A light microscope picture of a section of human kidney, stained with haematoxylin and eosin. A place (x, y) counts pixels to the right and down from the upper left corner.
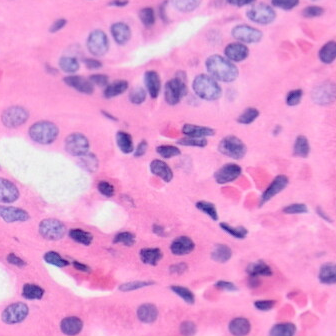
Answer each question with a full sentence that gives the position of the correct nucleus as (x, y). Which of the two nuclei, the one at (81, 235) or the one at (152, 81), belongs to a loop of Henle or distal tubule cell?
The nucleus at (81, 235), rather than the other, belongs to a loop of Henle or distal tubule cell.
